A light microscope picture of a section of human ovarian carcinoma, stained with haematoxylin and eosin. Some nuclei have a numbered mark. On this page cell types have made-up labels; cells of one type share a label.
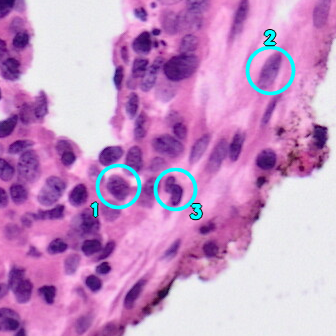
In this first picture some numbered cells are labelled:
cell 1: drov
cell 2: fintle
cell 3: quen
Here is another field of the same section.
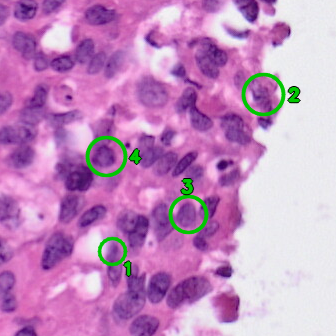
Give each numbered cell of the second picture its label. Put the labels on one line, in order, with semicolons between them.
drov; quen; drov; drov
